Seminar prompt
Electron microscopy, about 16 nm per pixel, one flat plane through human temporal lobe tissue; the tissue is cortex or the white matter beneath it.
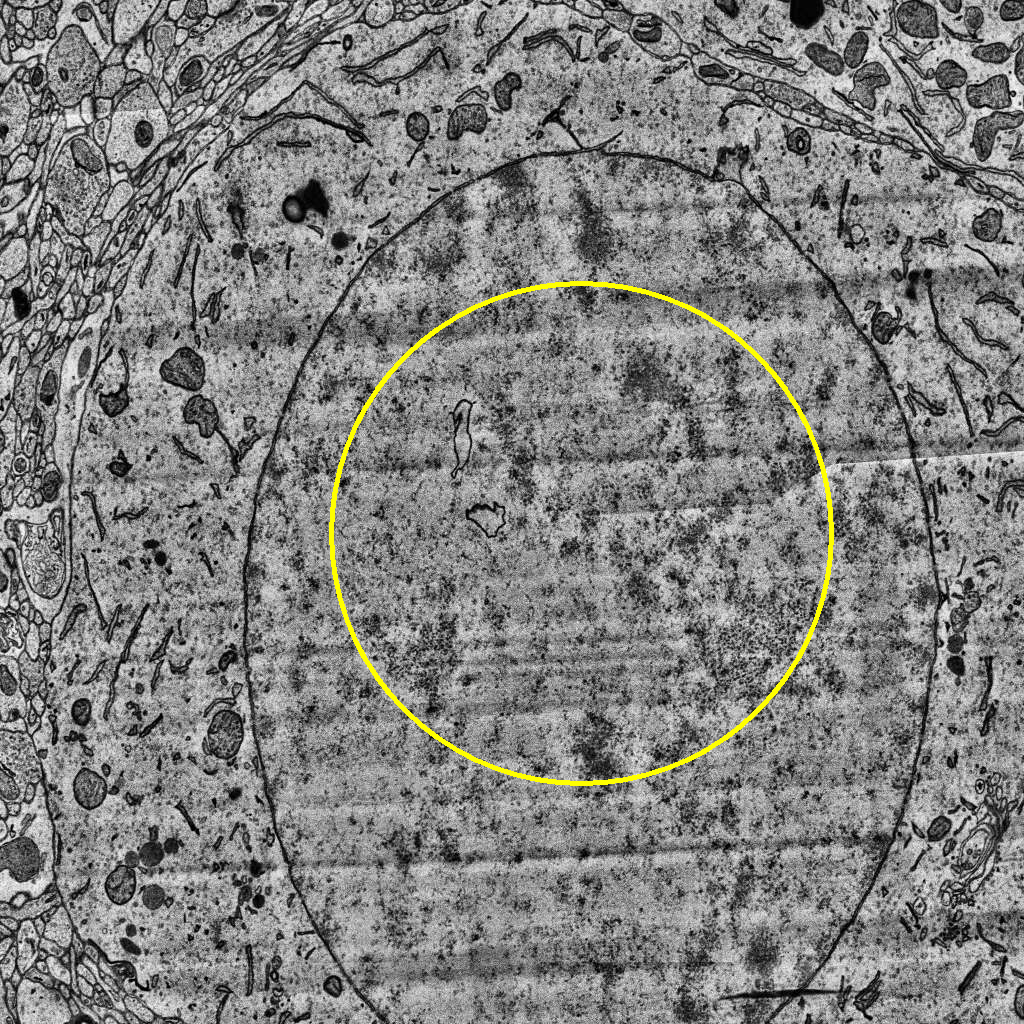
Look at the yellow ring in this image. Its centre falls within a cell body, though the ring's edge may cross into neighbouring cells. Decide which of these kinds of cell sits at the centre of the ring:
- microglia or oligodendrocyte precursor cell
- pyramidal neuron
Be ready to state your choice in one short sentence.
The kind of cell at the ring's centre is a pyramidal neuron.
